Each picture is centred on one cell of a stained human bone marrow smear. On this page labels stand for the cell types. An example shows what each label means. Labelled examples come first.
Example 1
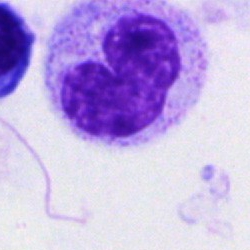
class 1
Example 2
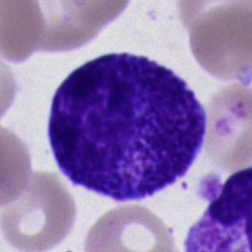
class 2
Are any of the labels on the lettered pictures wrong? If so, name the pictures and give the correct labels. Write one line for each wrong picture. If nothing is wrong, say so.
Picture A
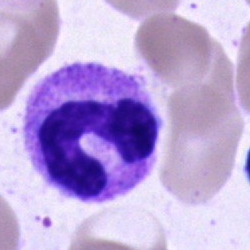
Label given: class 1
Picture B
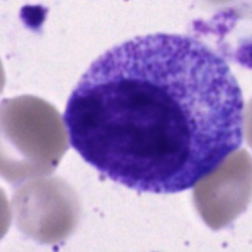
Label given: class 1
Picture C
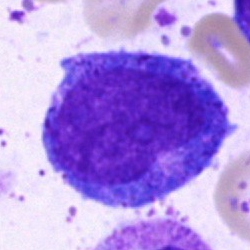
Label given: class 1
B: not class 1 but class 2
C: not class 1 but class 2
